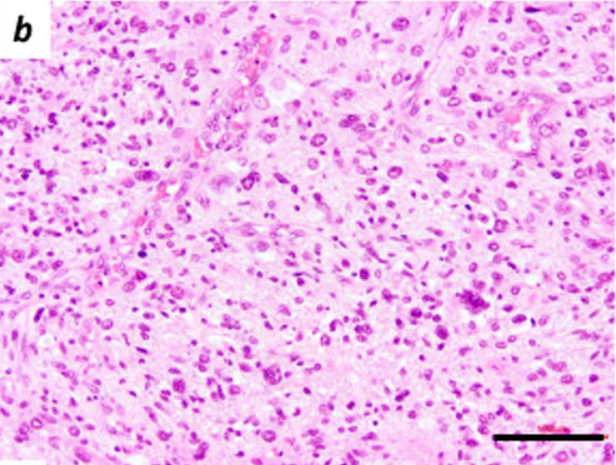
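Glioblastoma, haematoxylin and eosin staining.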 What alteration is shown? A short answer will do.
prominent cytologic atypia and pleomorphism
